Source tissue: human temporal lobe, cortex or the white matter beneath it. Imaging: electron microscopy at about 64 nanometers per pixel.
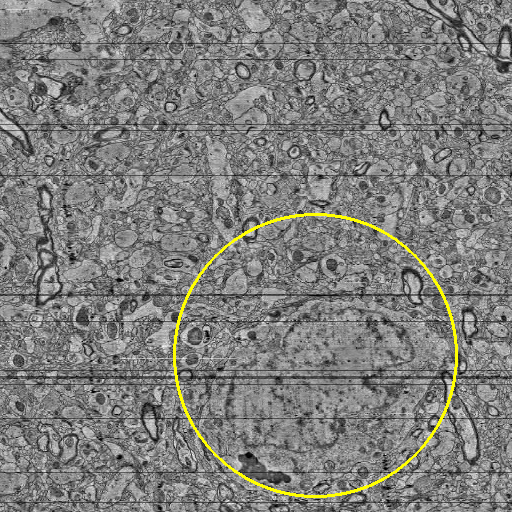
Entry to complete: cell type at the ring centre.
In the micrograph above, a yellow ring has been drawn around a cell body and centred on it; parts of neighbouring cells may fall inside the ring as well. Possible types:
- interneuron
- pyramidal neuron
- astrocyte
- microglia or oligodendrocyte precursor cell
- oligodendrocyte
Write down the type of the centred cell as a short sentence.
The ring is centred on an interneuron.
